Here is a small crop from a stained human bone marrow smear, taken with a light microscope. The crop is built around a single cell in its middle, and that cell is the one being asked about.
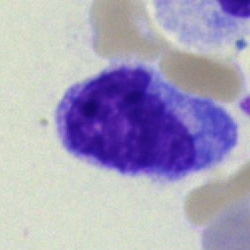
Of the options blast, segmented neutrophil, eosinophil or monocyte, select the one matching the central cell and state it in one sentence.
As for the central cell, it is a monocyte.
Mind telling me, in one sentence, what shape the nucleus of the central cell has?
What stands out is a nucleus forming one compact round, oval or kidney-shaped mass.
